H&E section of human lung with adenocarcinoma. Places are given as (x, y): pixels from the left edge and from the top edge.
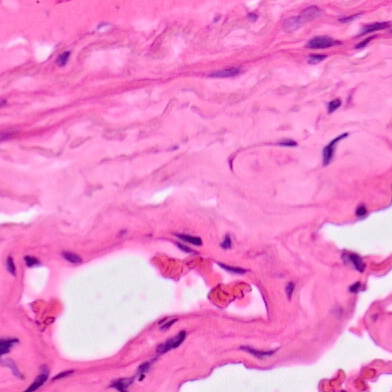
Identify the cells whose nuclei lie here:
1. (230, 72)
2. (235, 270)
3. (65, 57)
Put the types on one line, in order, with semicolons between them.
smooth muscle cell or pericyte; endothelial cell; smooth muscle cell or pericyte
